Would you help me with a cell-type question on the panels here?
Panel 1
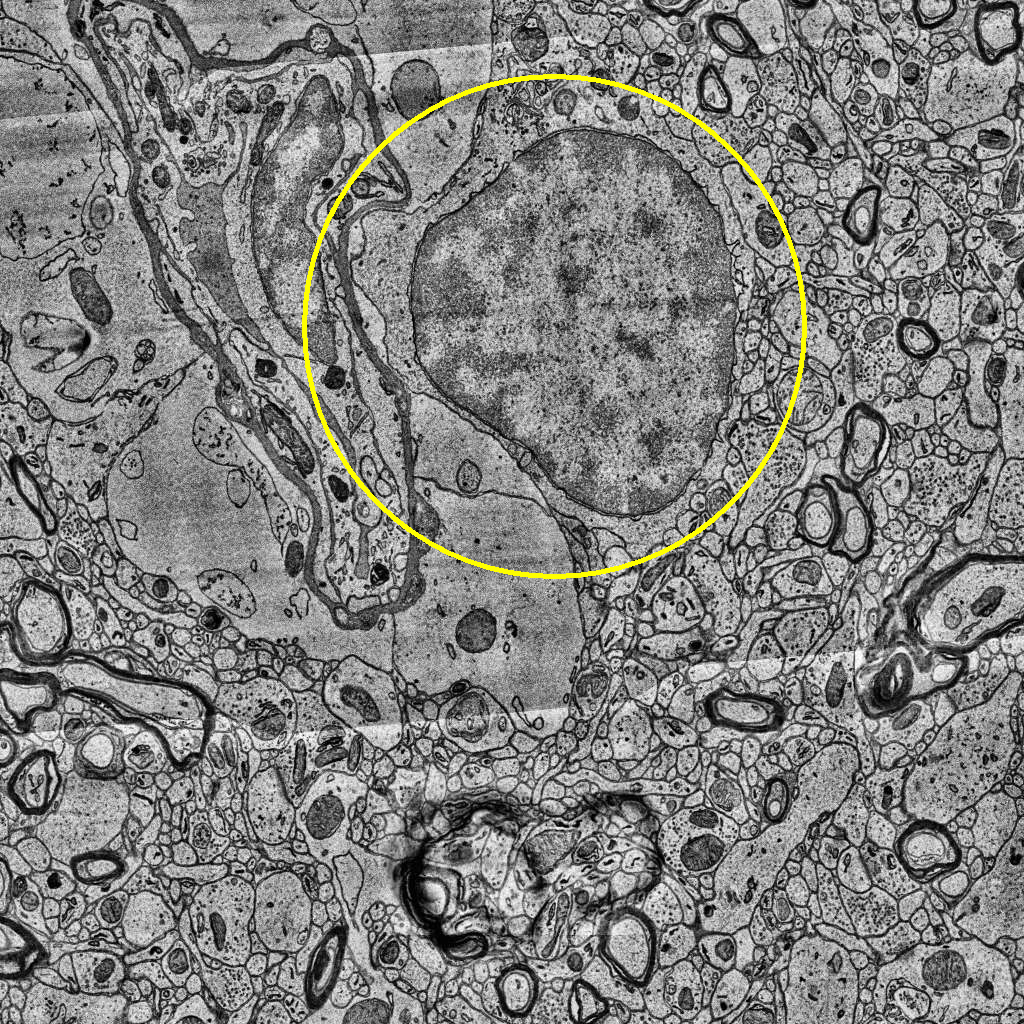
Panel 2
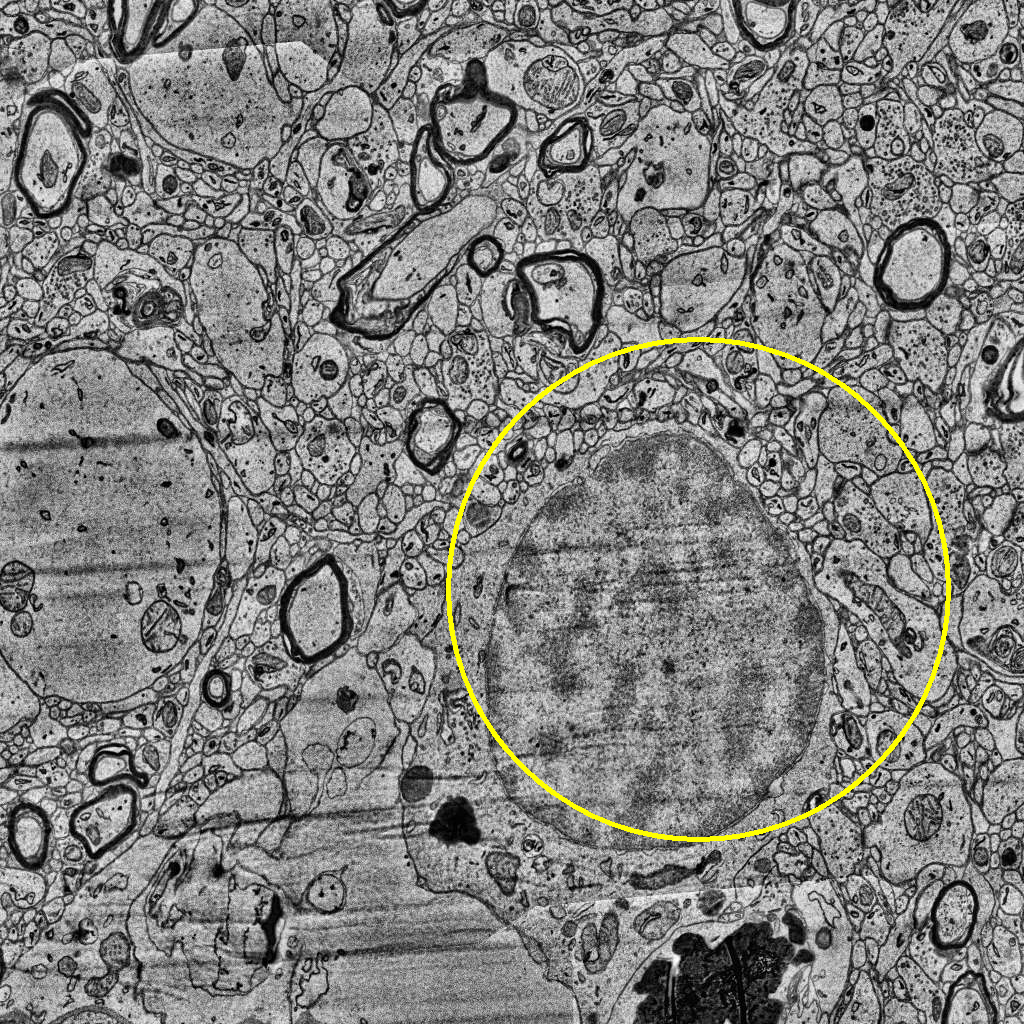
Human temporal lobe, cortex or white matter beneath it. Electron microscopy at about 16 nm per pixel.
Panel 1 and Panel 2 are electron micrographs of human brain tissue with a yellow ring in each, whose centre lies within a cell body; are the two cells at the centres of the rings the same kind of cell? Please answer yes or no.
yes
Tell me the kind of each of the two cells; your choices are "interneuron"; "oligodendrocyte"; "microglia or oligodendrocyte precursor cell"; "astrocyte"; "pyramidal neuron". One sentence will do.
Both pictures show an oligodendrocyte at the centre of the ring.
